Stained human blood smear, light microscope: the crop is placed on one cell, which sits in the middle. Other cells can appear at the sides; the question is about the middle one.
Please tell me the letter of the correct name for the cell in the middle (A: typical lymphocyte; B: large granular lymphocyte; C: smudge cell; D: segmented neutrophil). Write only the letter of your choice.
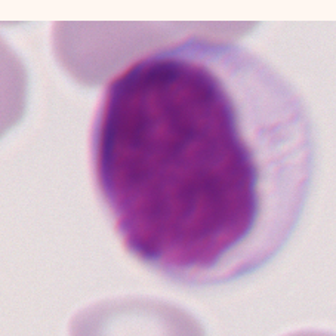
B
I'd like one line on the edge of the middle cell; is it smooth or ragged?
Happy to help: the outline is smooth and shows no projections.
